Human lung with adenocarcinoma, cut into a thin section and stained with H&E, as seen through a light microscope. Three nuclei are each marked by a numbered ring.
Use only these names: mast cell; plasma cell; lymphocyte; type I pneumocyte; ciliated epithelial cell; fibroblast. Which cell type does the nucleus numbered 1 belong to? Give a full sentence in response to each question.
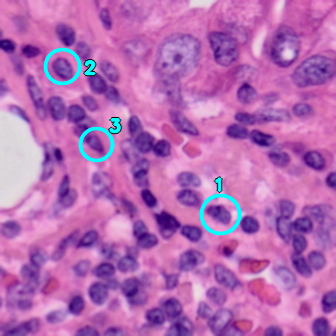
The label 1 in this section denotes a lymphocyte.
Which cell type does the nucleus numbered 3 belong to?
What the number 3 marks in this field is a lymphocyte.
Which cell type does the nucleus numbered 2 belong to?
Cell 2, among those numbered, is a mast cell.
